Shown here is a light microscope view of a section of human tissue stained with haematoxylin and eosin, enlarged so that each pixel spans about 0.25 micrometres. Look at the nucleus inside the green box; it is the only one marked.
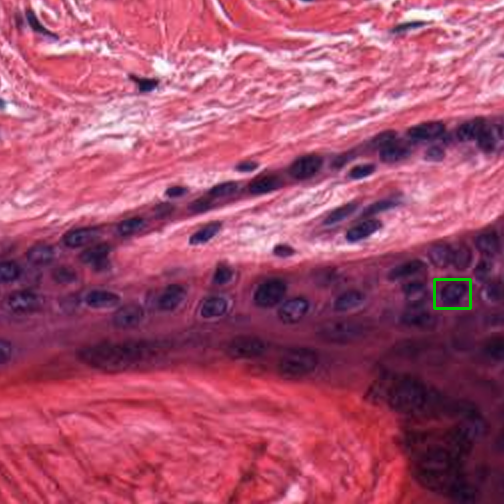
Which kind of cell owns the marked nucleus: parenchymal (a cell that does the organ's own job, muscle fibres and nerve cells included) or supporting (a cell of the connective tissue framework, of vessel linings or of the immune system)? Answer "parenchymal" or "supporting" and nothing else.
parenchymal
